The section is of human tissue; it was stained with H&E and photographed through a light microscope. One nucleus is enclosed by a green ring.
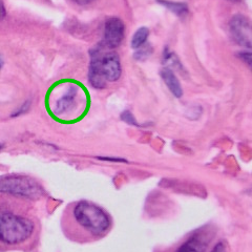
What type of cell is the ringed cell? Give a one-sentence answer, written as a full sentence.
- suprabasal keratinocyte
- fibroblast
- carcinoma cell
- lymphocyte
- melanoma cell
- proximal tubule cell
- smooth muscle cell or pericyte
So far as cell type goes, the ringed cell is a fibroblast.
